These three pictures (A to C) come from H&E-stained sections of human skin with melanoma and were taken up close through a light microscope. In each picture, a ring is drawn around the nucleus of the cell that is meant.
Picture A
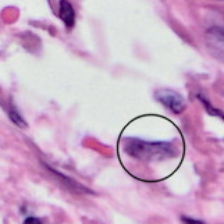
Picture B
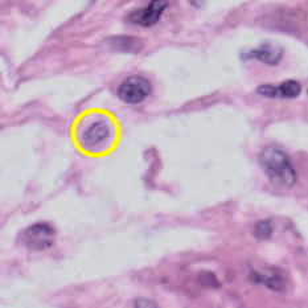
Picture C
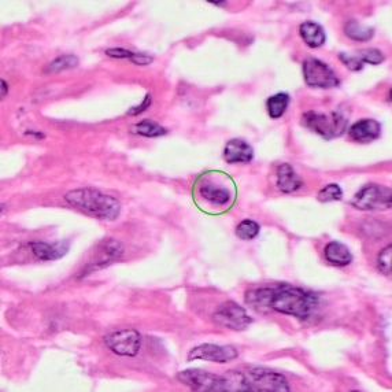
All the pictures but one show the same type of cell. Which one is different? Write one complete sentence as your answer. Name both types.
The others show “macrophages or monocytes”, but picture A shows a “fibroblast or myofibroblast”.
